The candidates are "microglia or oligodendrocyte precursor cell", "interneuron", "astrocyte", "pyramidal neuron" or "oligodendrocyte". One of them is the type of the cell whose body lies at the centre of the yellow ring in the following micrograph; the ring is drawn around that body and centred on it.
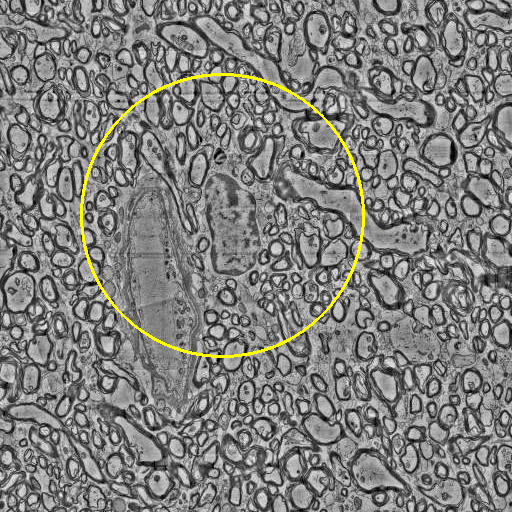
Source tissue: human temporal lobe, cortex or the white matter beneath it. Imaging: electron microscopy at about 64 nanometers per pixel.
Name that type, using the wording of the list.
microglia or oligodendrocyte precursor cell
